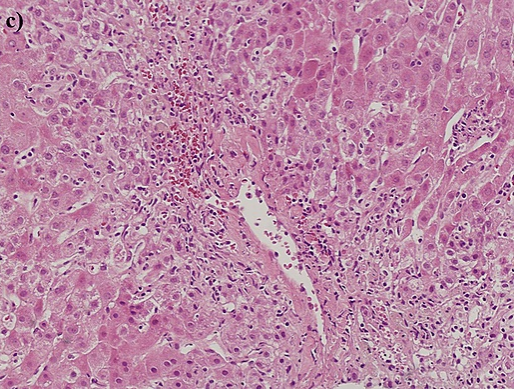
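Liver with a central thin-walled vein surrounded by a zone where hepatocyte plates are disrupted, with clusters of extravasated red blood cells and many scattered small dark inflammatory nuclei. At the edges of the field intact hepatocytes form plates of large polygonal cells with pink cytoplasm and round central nuclei, some binucleate. No fat vacuoles are seen in the hepatocytes.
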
